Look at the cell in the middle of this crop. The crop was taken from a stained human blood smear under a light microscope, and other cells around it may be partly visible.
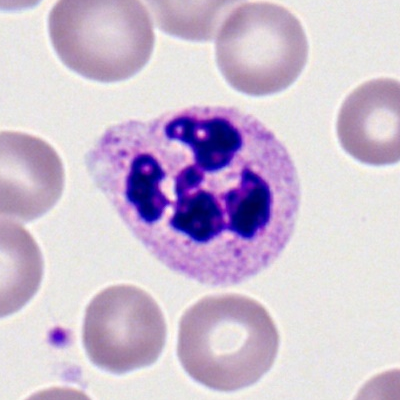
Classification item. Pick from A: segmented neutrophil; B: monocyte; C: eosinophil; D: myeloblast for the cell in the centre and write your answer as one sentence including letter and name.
The cell centered in the crop is a segmented neutrophil, making option A the correct pick.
